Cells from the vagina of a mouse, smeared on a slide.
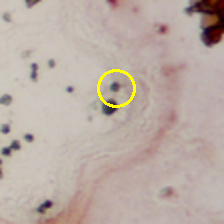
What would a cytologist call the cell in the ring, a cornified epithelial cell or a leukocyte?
A cytologist would call it a leukocyte.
